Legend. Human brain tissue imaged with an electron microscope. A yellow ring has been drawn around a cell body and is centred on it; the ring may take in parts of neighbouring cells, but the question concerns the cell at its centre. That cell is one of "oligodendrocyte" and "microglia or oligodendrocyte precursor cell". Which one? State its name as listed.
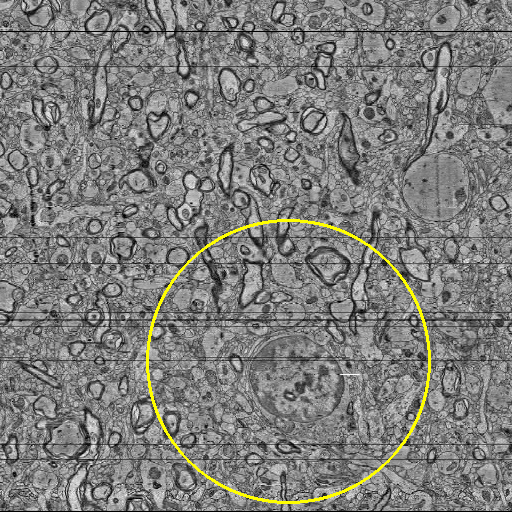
oligodendrocyte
